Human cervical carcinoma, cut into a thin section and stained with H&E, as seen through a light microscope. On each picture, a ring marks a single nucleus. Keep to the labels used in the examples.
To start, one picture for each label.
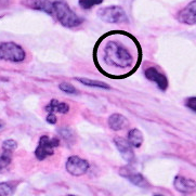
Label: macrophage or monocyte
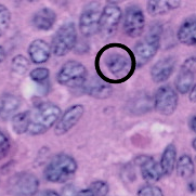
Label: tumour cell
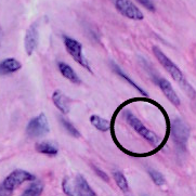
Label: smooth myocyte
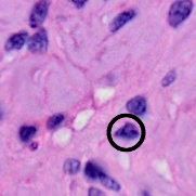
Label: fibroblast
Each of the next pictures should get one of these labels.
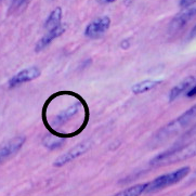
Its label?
smooth myocyte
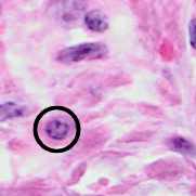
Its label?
macrophage or monocyte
